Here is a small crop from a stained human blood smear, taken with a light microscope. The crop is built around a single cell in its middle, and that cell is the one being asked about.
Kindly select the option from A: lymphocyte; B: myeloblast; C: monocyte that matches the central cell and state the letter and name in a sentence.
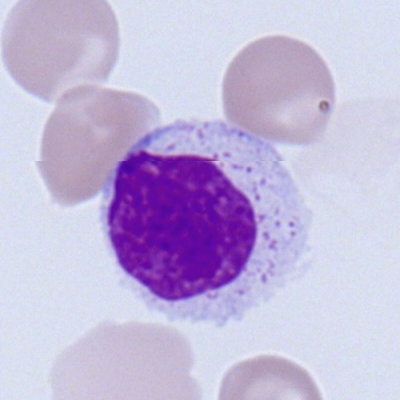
The centrally located cell is a lymphocyte, making option A the correct choice.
